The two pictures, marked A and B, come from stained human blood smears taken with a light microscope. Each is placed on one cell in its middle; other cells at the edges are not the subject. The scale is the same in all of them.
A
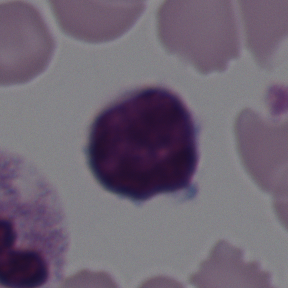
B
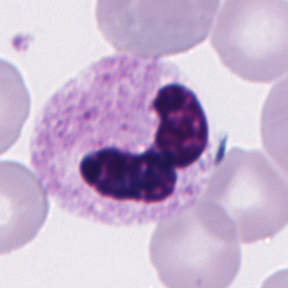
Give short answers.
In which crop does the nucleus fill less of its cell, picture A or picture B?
B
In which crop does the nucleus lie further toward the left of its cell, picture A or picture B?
A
